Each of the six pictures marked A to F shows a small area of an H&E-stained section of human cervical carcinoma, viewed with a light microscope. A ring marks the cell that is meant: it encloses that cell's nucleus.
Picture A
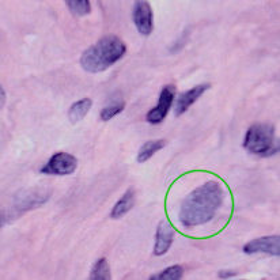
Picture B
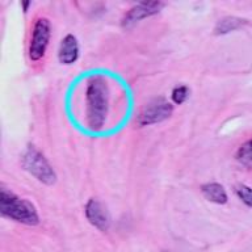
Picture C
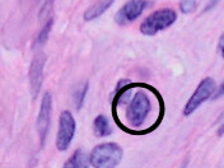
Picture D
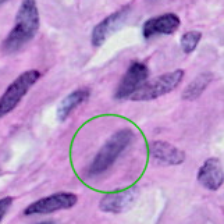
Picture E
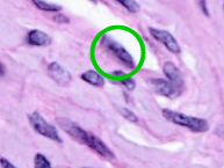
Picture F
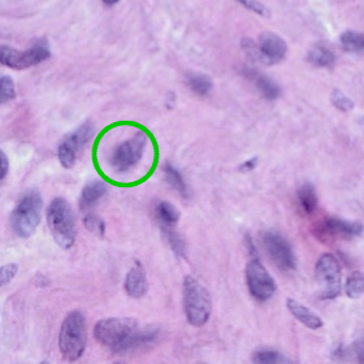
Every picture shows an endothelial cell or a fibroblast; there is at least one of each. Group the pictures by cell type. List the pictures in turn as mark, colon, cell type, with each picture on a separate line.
A: fibroblast
B: fibroblast
C: endothelial cell
D: fibroblast
E: endothelial cell
F: fibroblast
